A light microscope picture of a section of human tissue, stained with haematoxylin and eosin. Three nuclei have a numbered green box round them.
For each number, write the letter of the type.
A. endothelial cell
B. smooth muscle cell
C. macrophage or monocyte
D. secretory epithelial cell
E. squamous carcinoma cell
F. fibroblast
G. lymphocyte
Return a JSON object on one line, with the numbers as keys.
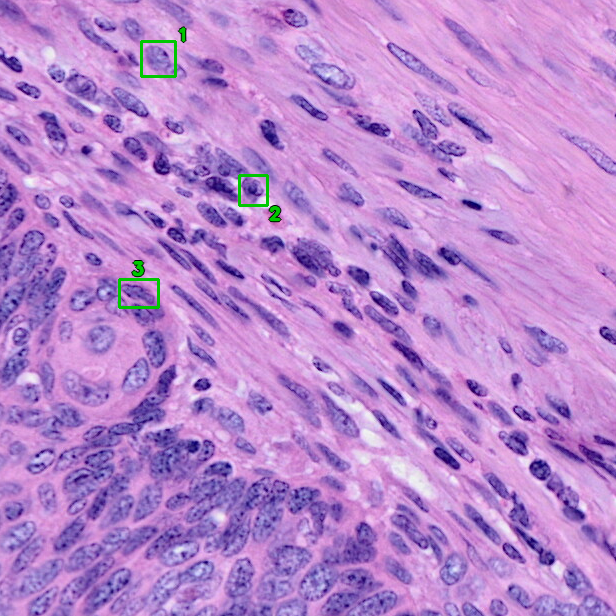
{"1": "B", "2": "G", "3": "E"}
